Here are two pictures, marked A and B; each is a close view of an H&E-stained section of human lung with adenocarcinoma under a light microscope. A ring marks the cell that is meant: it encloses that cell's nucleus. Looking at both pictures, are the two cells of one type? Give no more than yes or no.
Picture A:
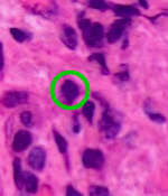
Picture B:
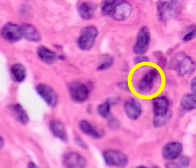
yes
